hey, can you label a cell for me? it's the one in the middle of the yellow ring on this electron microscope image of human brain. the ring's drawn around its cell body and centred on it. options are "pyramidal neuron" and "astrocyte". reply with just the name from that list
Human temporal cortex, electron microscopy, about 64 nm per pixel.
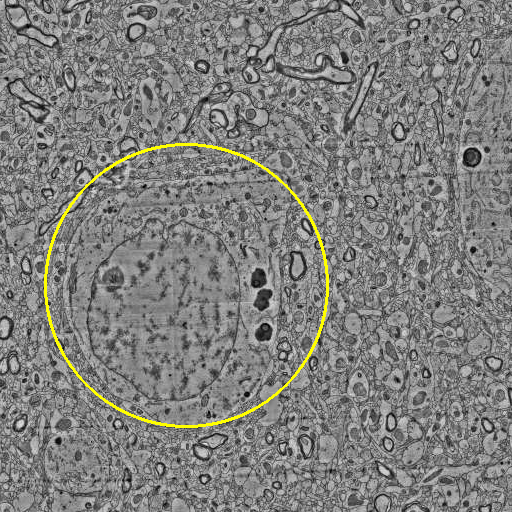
pyramidal neuron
